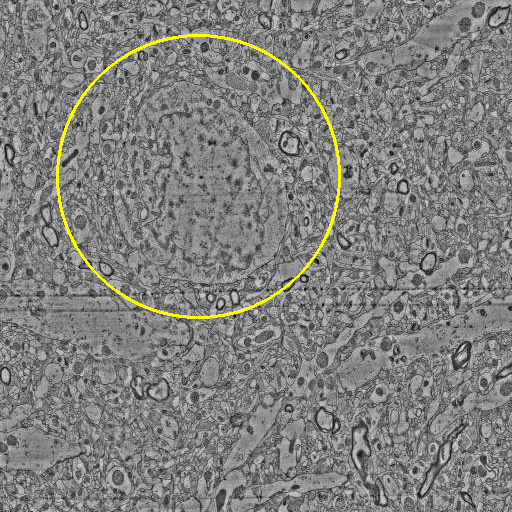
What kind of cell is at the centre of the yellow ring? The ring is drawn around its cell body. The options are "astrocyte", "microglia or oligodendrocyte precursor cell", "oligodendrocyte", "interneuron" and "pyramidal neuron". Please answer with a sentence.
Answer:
The yellow ring marks the cell body of an interneuron.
